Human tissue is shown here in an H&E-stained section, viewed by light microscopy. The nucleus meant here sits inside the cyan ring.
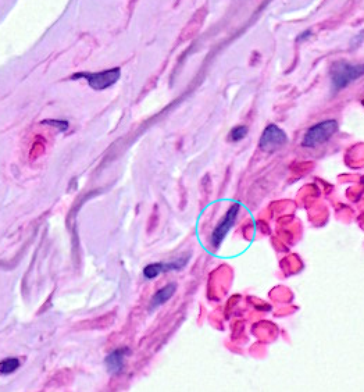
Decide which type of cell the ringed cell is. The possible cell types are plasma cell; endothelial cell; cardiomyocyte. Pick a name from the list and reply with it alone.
endothelial cell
